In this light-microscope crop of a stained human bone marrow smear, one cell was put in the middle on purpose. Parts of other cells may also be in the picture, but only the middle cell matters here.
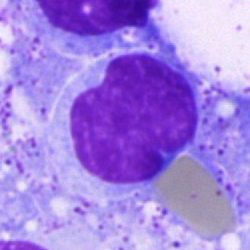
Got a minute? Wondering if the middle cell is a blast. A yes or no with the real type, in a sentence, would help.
Yes, the cell found at the centre of the crop is a blast.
